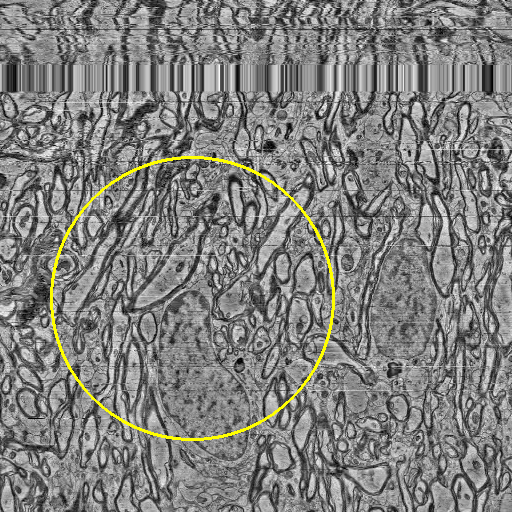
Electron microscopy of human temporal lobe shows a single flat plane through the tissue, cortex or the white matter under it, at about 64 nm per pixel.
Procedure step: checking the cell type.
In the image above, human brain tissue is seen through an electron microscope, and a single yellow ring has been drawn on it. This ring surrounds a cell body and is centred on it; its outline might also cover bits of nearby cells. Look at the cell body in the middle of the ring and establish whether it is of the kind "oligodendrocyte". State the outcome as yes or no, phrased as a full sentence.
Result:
No, the cell body at the ring's centre in the image is of another kind.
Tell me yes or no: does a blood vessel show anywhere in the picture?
No.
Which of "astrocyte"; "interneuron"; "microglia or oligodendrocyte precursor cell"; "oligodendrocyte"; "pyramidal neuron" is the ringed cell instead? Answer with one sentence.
So the cell at the centre is a microglial cell or oligodendrocyte precursor cell.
